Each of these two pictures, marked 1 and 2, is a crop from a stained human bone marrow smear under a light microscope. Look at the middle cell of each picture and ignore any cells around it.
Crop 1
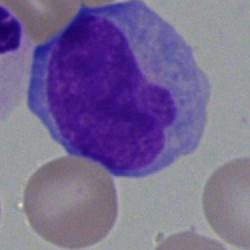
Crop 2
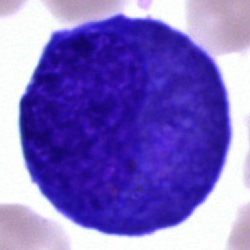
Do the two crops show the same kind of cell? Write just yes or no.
no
